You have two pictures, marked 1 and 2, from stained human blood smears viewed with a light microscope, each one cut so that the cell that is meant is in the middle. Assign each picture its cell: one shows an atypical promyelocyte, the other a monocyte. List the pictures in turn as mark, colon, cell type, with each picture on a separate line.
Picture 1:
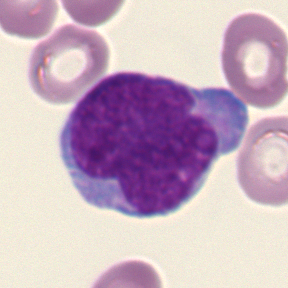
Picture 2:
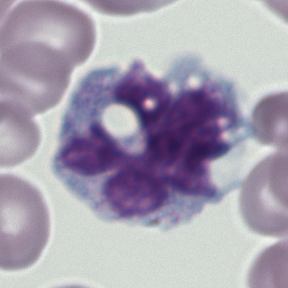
1: atypical promyelocyte
2: monocyte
